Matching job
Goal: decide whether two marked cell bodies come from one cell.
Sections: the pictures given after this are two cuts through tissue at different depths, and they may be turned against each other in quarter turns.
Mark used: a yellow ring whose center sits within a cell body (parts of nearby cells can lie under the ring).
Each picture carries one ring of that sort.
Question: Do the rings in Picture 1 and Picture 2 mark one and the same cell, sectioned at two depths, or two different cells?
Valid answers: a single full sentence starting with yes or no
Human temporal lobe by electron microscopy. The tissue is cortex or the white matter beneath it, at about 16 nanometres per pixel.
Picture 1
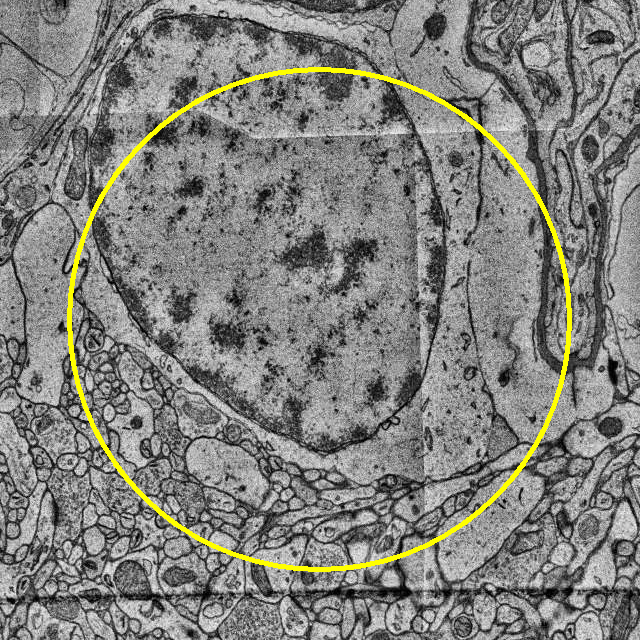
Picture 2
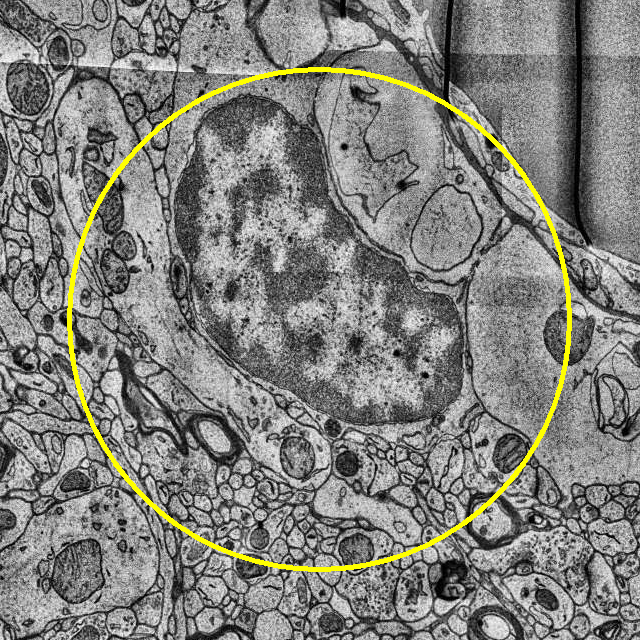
No, two cells, not one, are marked by the yellow rings.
